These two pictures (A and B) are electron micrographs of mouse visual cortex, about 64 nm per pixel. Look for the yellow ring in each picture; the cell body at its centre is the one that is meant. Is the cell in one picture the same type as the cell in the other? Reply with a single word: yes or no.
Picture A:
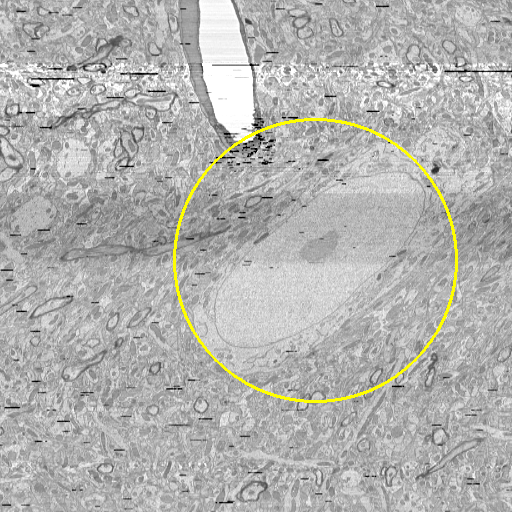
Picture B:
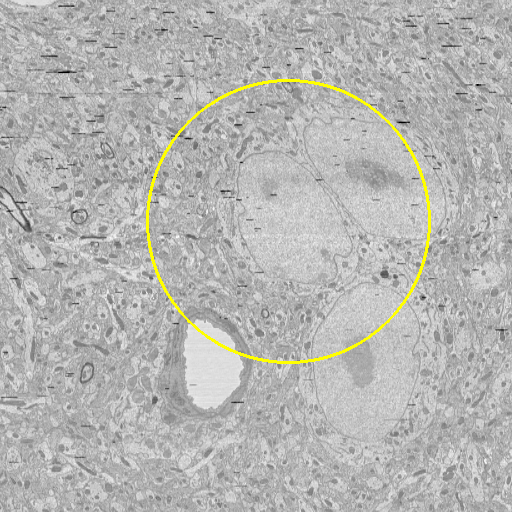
yes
